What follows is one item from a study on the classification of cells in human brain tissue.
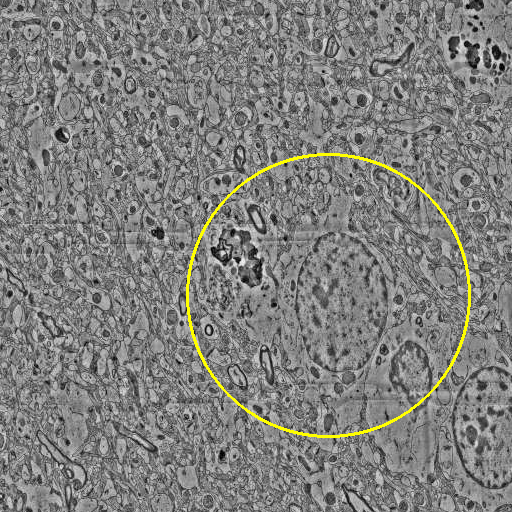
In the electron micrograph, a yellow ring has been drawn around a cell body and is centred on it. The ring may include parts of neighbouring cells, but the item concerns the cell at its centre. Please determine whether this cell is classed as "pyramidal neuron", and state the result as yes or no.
no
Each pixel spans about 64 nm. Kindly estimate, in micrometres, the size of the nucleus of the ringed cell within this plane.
About 9 by 6 micrometers, in this plane.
